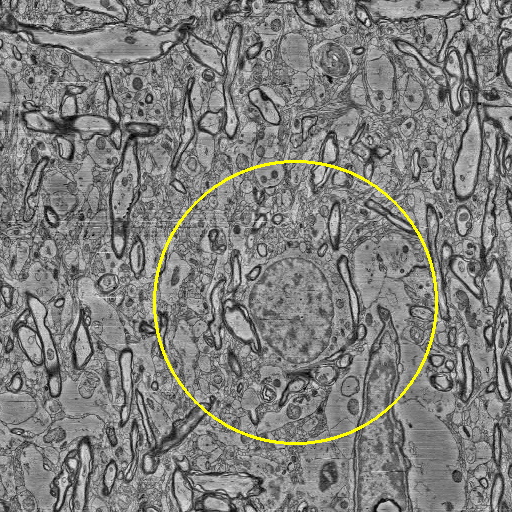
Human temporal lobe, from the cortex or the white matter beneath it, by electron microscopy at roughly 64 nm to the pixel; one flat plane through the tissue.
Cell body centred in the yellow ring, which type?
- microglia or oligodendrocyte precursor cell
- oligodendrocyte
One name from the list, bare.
oligodendrocyte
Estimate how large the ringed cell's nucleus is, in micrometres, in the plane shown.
In this plane, the nucleus of the cell at the centre of the ring measures about 7 by 5 micrometres.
